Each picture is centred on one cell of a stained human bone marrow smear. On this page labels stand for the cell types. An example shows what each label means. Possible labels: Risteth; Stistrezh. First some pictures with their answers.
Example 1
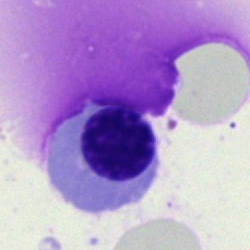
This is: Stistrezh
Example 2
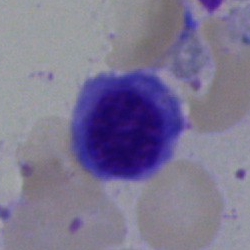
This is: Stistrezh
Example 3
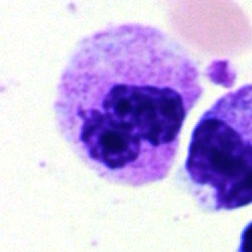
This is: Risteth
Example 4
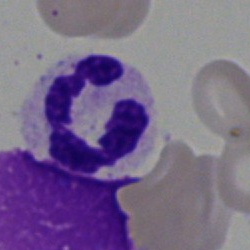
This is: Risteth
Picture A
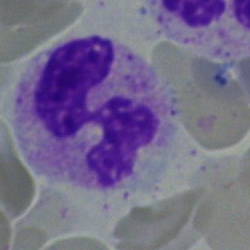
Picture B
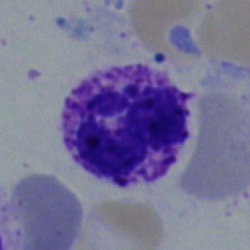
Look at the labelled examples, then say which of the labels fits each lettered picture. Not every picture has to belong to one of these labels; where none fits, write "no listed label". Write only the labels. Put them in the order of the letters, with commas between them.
Risteth, no listed label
